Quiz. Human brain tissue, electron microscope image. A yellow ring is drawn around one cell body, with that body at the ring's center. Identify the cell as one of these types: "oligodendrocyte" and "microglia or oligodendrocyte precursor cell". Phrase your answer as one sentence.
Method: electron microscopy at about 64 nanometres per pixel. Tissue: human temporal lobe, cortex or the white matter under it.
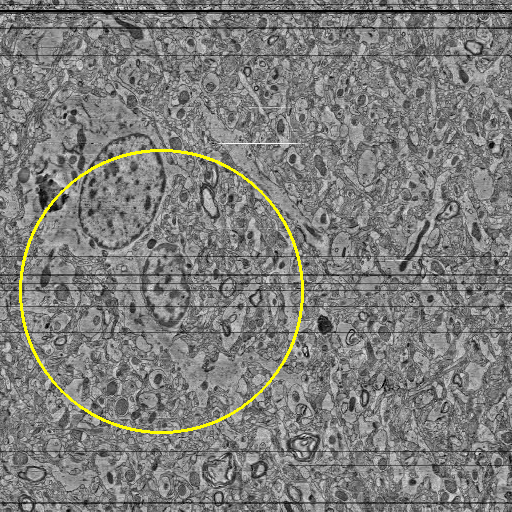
At the center of the ring sits a microglial cell or oligodendrocyte precursor cell.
